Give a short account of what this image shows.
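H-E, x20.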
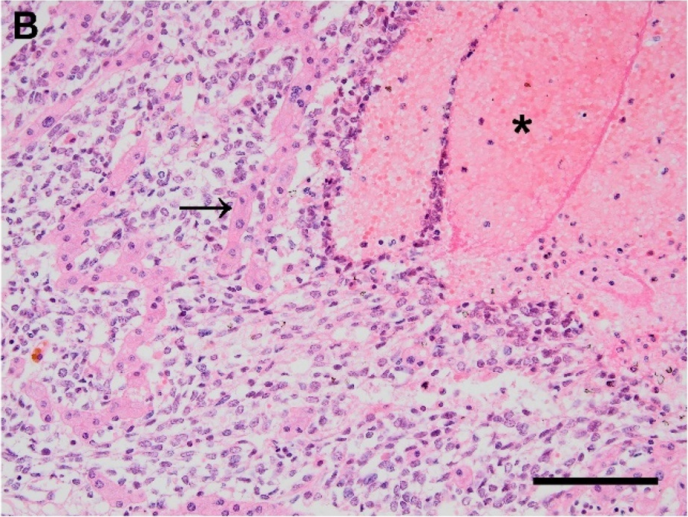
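Liver with remaining hepatocyte cords infiltrated by a dense population of spindle to oval-shaped, pleomorphic tumour cells. The hepatocytes form thin strands with pink cytoplasm and round nuclei, and they are separated and surrounded by sheets of crowded cells. These cells have elongated to oval nuclei of varying size and shape, and their cell borders are indistinct. On one side lies a large pale pink area of hemorrhage, packed with red blood cells and containing few nucleated cells. The tumour cells are more densely packed at its rim.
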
